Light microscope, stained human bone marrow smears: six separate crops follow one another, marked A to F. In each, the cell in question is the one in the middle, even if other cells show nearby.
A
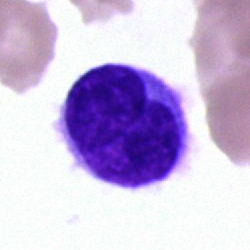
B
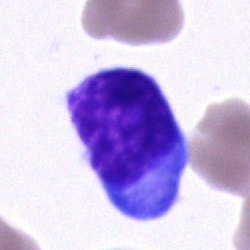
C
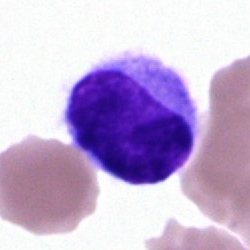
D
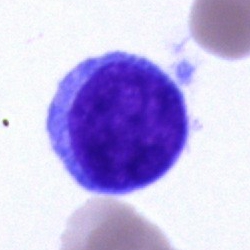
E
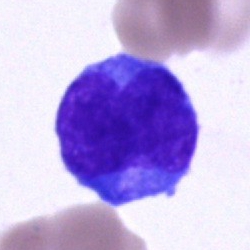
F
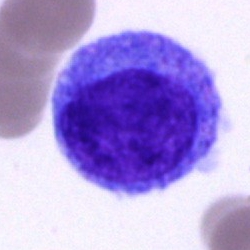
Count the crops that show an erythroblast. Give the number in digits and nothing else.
0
